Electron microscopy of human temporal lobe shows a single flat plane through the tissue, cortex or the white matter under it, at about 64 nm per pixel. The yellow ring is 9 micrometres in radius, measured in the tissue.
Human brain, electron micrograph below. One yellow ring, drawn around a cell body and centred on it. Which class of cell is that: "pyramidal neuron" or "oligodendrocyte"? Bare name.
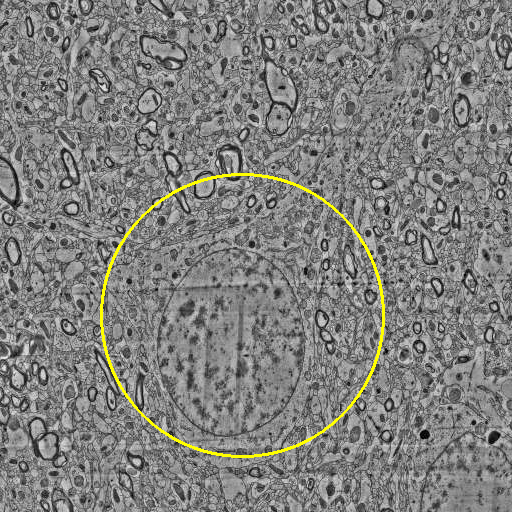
pyramidal neuron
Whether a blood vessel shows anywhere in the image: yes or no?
No.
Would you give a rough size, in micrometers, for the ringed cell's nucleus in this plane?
Roughly 13 micrometres by 10 micrometres, in this plane.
